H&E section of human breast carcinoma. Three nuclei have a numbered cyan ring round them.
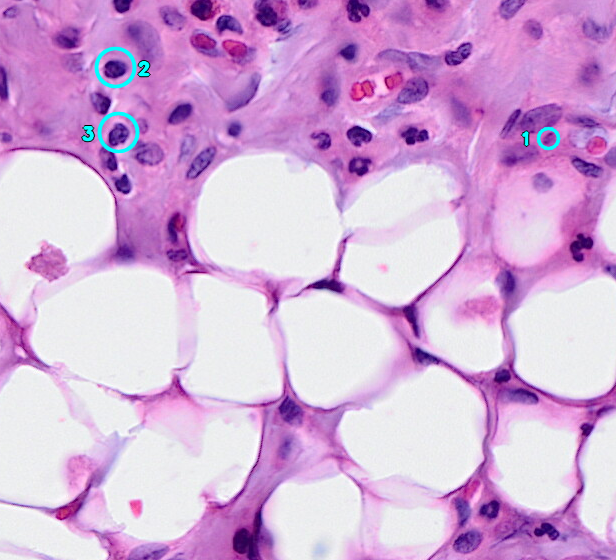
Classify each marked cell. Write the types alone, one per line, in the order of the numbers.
endothelial cell
lymphocyte
lymphocyte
